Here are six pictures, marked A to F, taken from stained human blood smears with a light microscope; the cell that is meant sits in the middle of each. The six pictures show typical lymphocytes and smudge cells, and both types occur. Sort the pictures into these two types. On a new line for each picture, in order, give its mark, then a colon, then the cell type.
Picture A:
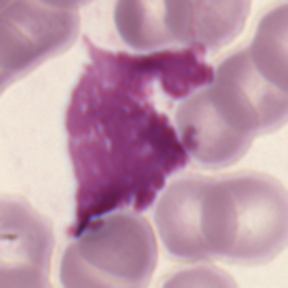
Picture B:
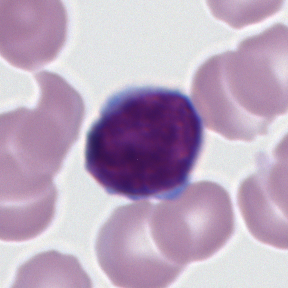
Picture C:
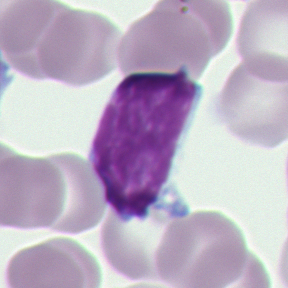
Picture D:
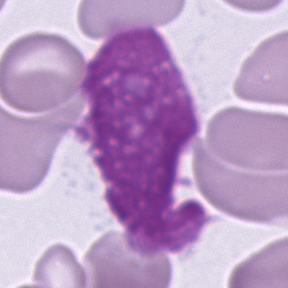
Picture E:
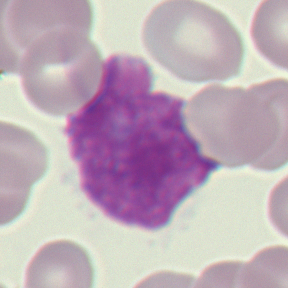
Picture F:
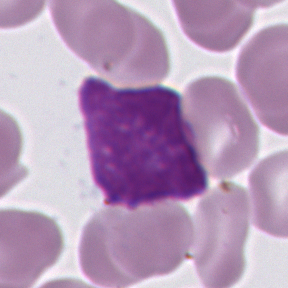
A: smudge cell
B: typical lymphocyte
C: typical lymphocyte
D: smudge cell
E: smudge cell
F: smudge cell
